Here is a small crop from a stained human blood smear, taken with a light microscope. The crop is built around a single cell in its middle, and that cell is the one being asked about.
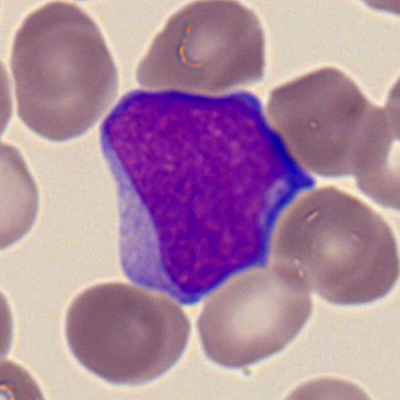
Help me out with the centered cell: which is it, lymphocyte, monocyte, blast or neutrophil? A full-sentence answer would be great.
The cell the crop is centered on is a blast.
